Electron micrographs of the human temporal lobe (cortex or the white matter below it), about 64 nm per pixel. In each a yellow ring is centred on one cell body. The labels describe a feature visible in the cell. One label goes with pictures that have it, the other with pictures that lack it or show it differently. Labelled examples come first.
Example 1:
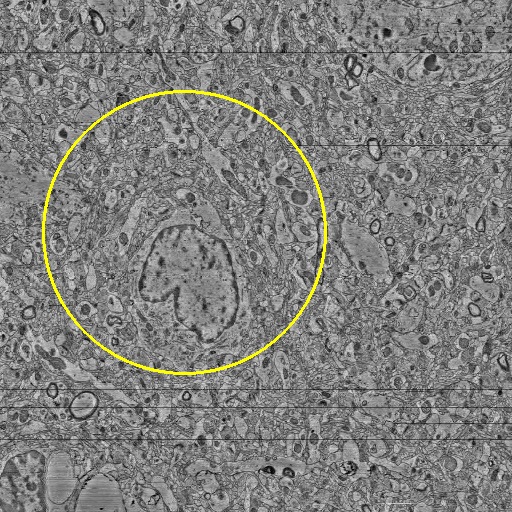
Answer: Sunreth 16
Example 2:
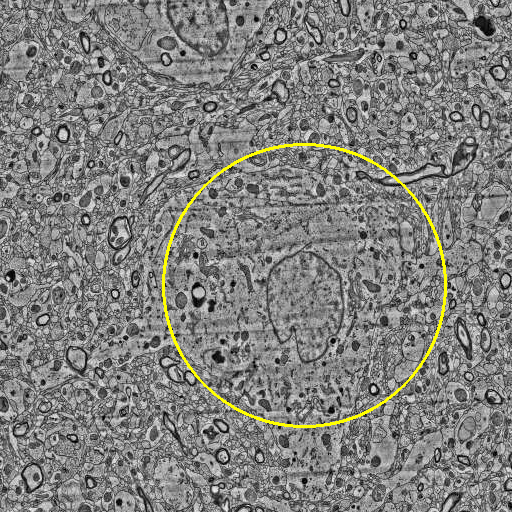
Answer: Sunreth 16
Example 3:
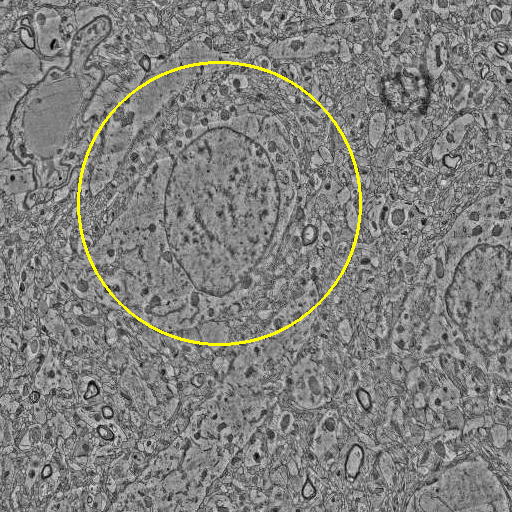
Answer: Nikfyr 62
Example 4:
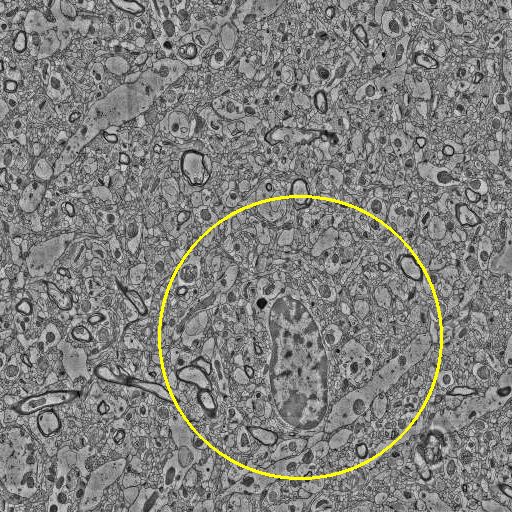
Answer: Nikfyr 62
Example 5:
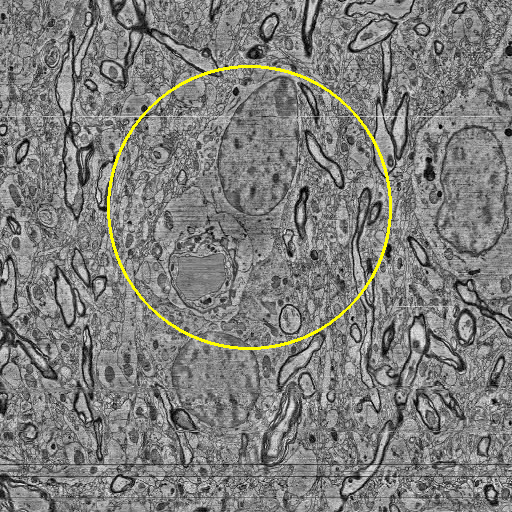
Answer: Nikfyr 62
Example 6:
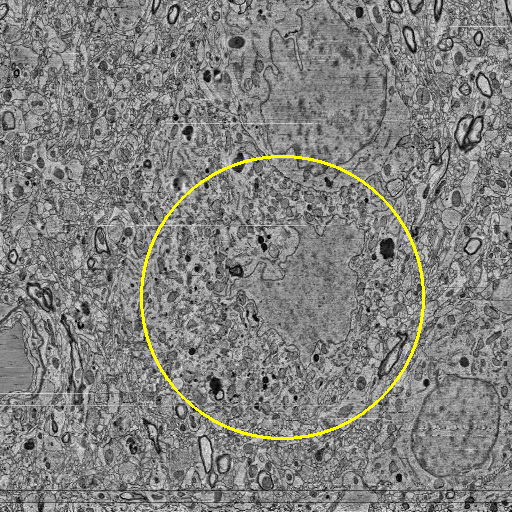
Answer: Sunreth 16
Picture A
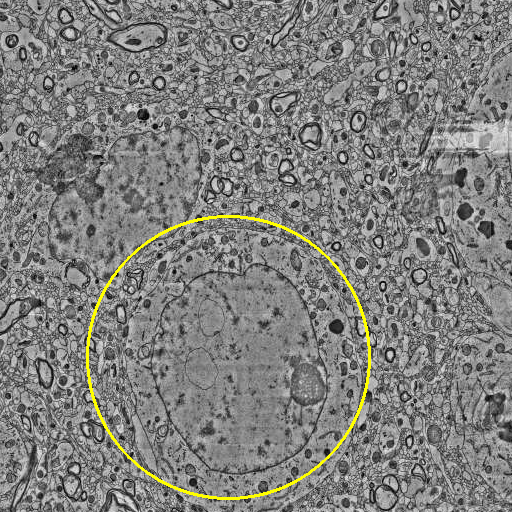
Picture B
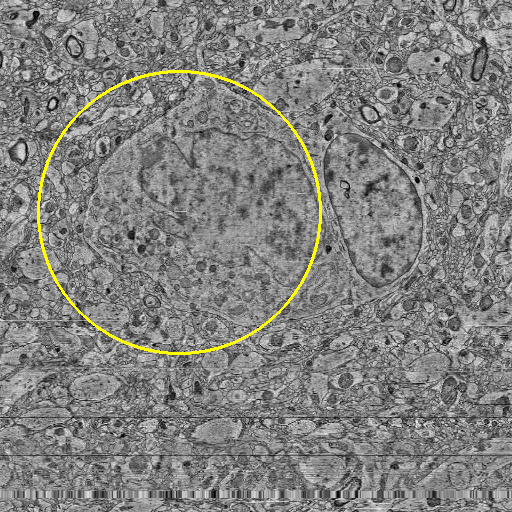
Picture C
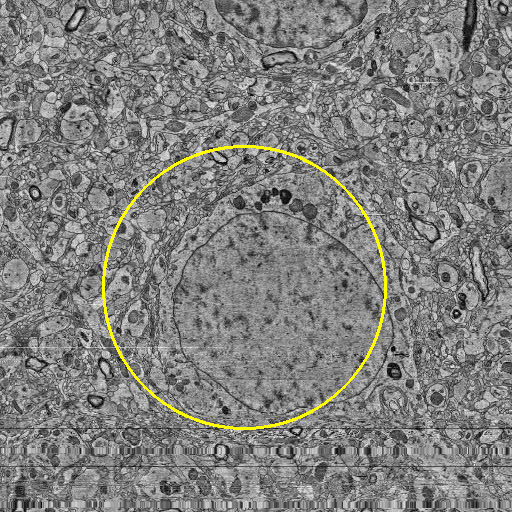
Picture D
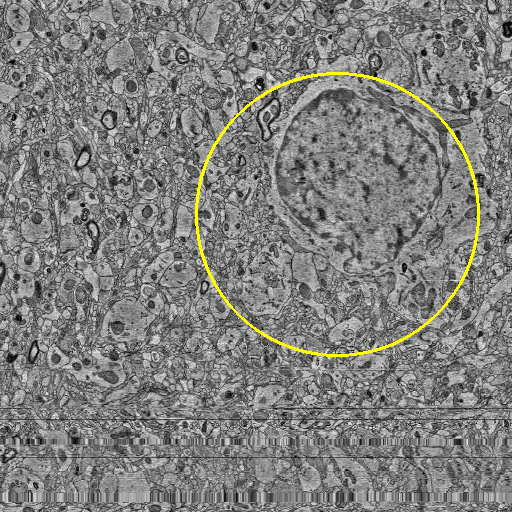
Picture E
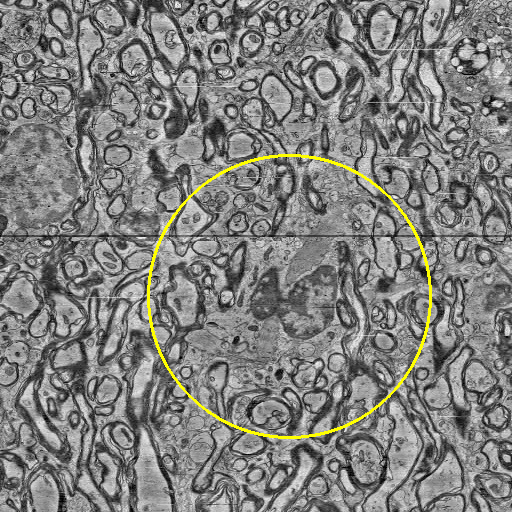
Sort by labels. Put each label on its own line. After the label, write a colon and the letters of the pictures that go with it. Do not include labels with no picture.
Sunreth 16: A, B, D, E
Nikfyr 62: C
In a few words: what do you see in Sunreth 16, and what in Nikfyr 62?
Sunreth 16: deeply folded or indented nuclear envelopes; Nikfyr 62: smooth nuclear envelopes without deep folds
